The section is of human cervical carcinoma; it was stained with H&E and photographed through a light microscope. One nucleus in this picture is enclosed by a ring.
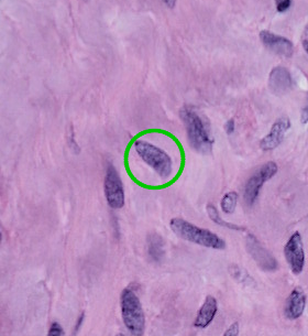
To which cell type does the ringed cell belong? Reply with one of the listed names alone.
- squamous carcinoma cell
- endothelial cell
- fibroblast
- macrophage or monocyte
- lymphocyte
fibroblast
